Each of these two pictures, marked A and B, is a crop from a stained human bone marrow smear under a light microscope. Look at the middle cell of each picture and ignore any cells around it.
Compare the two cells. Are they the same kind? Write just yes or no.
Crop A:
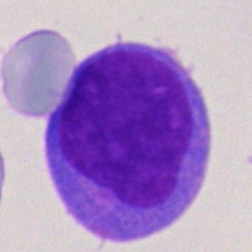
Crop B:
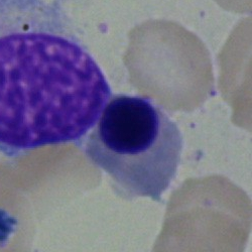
no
